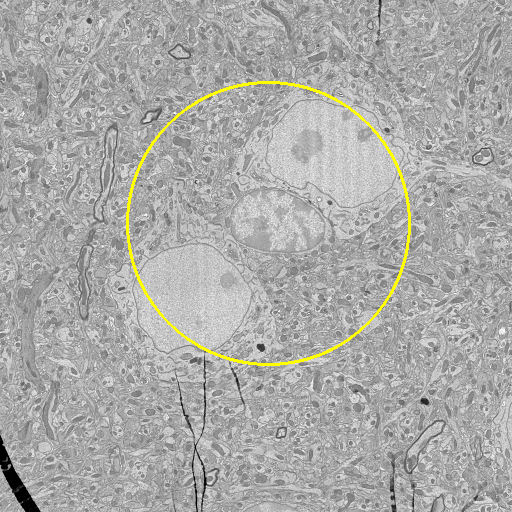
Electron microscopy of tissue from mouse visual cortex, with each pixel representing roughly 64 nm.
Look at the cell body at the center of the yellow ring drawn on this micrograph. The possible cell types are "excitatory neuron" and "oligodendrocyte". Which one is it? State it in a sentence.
The cell in the middle of the ring is an oligodendrocyte.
